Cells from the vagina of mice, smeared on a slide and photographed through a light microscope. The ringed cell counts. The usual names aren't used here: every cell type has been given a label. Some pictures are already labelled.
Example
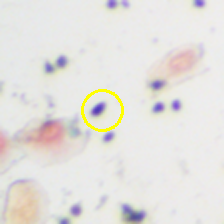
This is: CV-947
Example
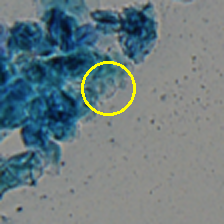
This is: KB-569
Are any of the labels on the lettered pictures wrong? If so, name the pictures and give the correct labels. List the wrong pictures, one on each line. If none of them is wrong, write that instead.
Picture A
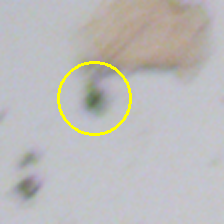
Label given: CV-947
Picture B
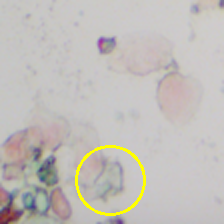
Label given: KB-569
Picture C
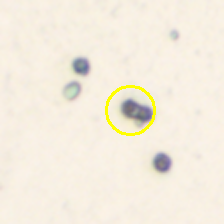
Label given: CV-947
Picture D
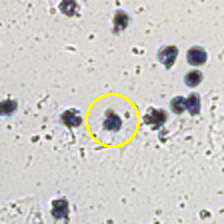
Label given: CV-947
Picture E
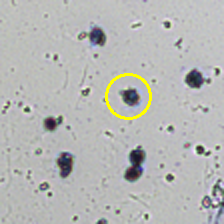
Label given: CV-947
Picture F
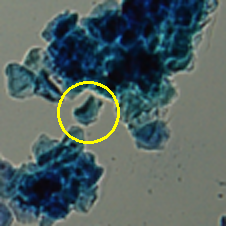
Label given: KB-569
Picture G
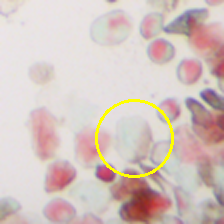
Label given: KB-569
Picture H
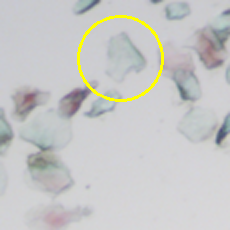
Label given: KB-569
Every label is right.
